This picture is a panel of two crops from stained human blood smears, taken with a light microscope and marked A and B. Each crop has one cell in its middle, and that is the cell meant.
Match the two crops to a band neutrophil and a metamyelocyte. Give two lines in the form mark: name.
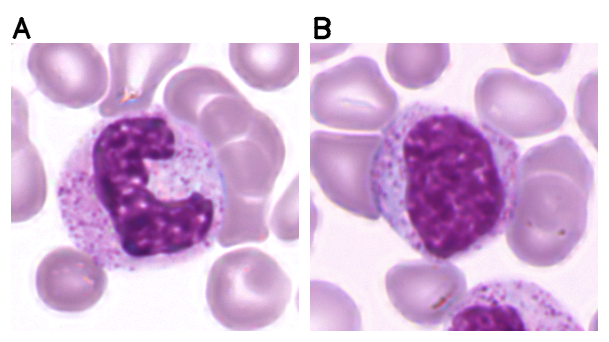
A: band neutrophil
B: metamyelocyte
